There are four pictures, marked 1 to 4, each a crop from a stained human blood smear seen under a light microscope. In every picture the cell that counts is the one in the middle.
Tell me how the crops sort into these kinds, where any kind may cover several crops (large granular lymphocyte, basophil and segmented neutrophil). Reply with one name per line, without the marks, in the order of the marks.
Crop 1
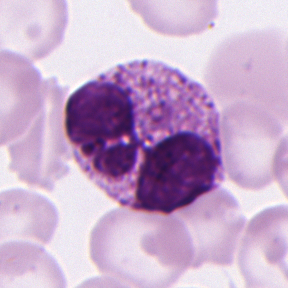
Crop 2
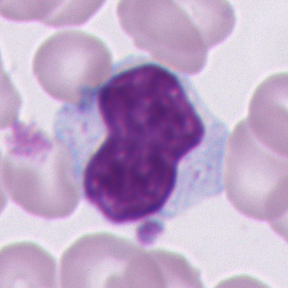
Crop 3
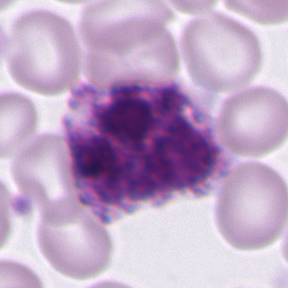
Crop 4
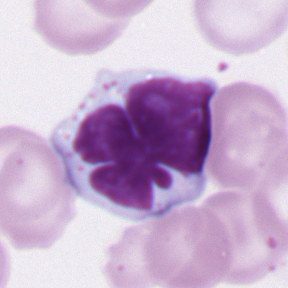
basophil
large granular lymphocyte
basophil
large granular lymphocyte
